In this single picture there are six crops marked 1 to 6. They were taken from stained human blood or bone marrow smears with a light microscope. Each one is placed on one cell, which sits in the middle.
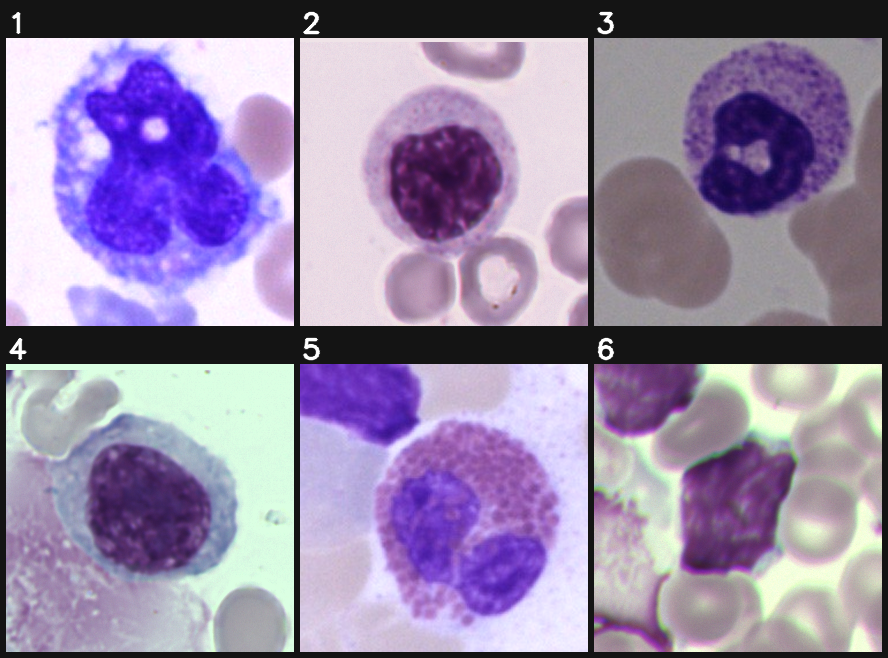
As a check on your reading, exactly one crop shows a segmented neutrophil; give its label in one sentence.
The requested cell, a segmented neutrophil, is the one in crop 3.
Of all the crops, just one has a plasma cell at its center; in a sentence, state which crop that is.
Of the cells presented, the one in crop 4 is a plasma cell.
